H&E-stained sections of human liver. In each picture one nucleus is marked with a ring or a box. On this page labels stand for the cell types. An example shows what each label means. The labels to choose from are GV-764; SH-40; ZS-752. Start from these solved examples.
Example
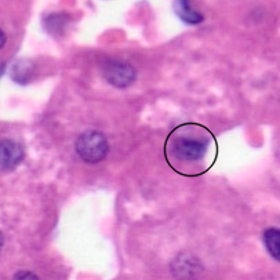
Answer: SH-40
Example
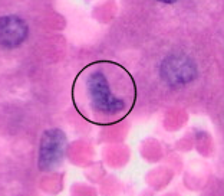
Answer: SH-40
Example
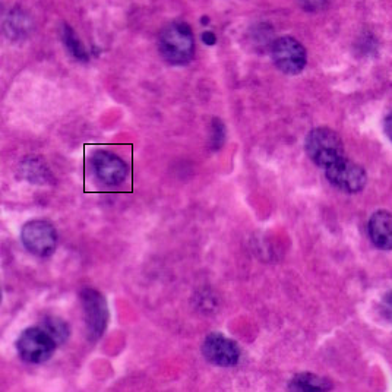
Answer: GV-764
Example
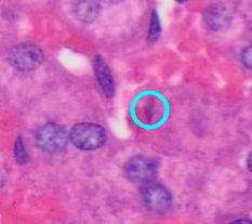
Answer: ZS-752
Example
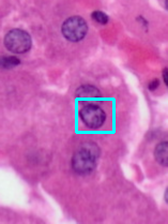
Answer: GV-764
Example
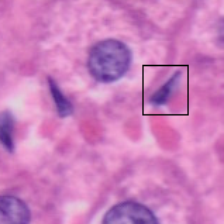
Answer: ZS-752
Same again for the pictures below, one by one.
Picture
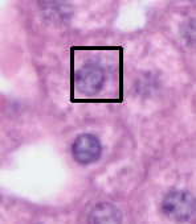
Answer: GV-764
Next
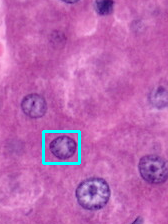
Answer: GV-764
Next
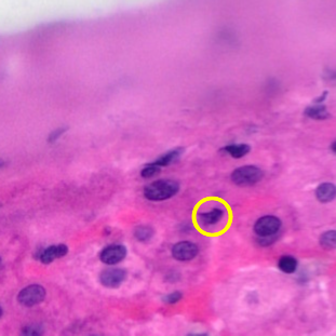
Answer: SH-40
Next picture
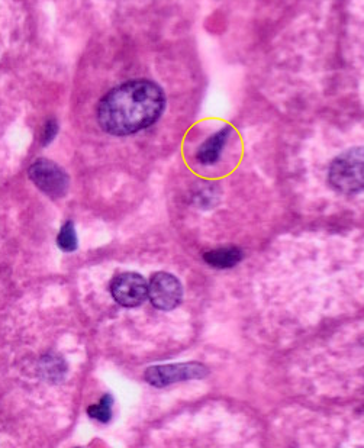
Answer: SH-40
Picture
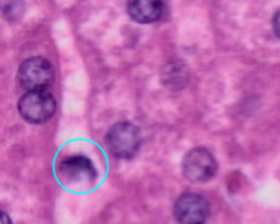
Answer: ZS-752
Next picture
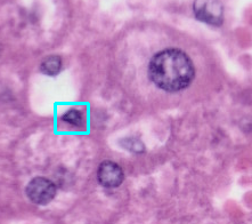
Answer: SH-40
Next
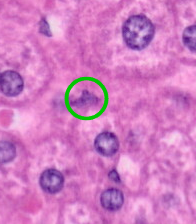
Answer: ZS-752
